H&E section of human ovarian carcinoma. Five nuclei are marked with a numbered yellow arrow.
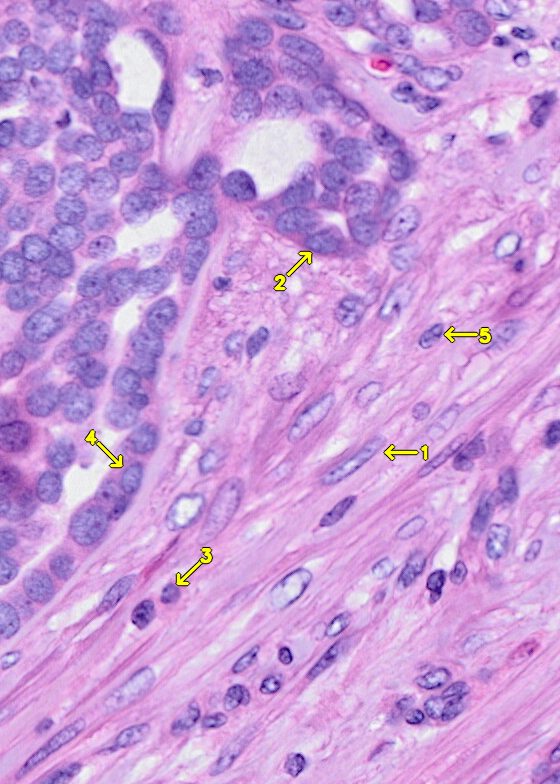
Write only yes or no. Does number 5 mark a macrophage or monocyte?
yes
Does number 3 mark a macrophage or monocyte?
yes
